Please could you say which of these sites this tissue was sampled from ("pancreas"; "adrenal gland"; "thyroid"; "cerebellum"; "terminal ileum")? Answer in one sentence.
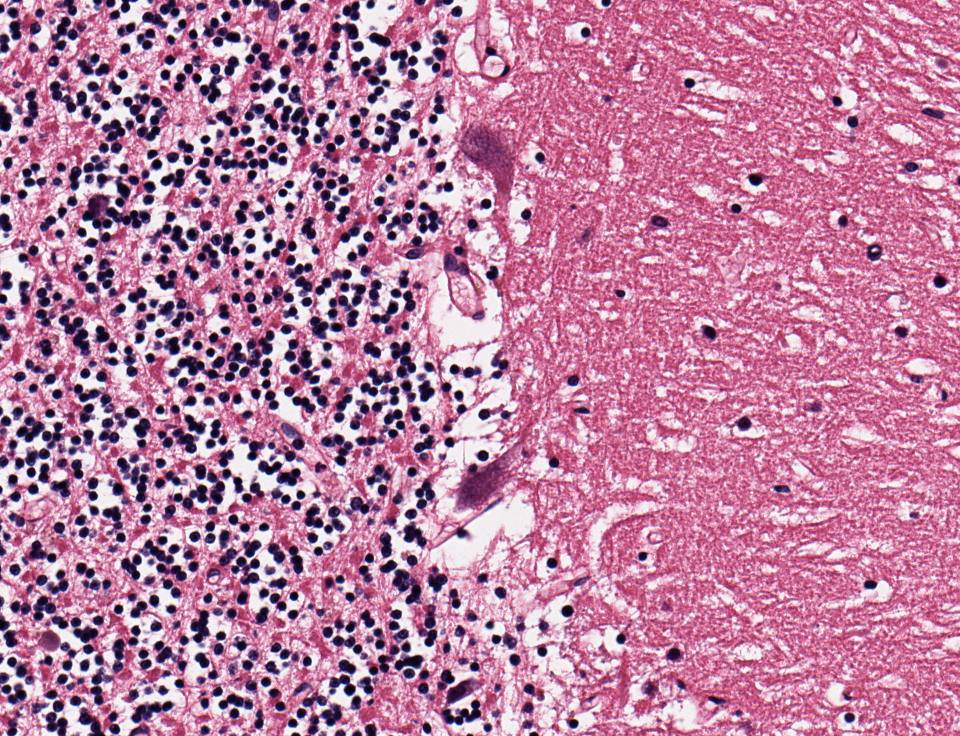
The site this tissue was sampled from is the cerebellum.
